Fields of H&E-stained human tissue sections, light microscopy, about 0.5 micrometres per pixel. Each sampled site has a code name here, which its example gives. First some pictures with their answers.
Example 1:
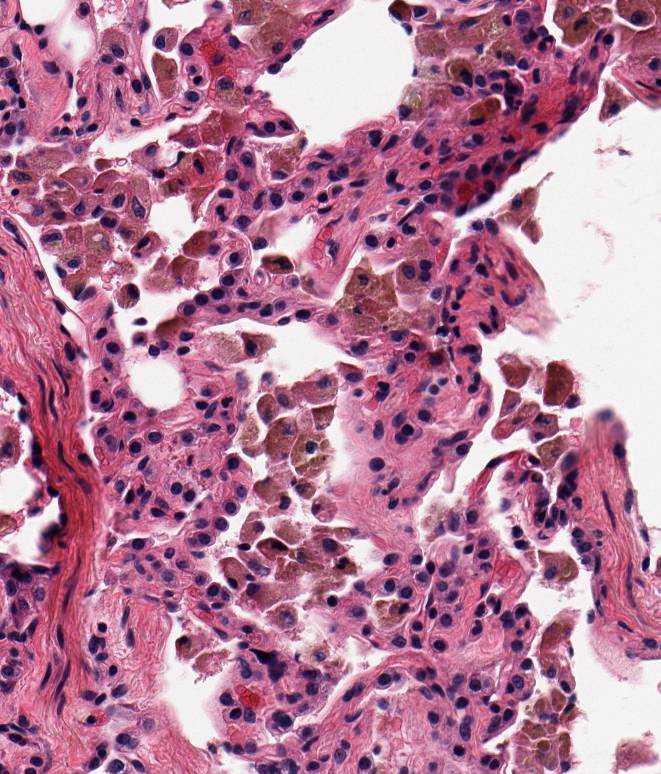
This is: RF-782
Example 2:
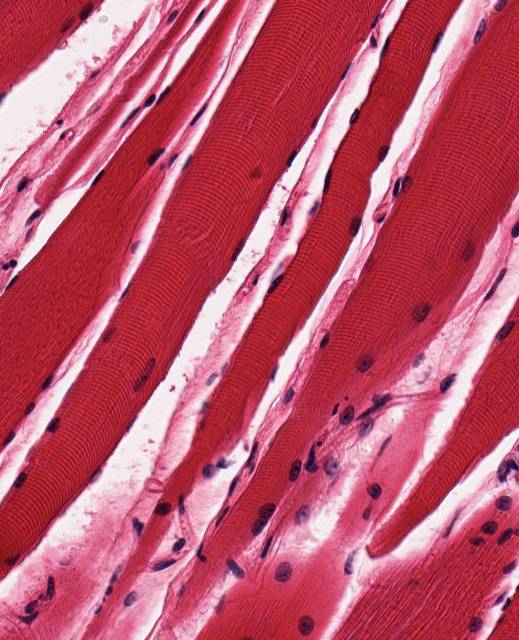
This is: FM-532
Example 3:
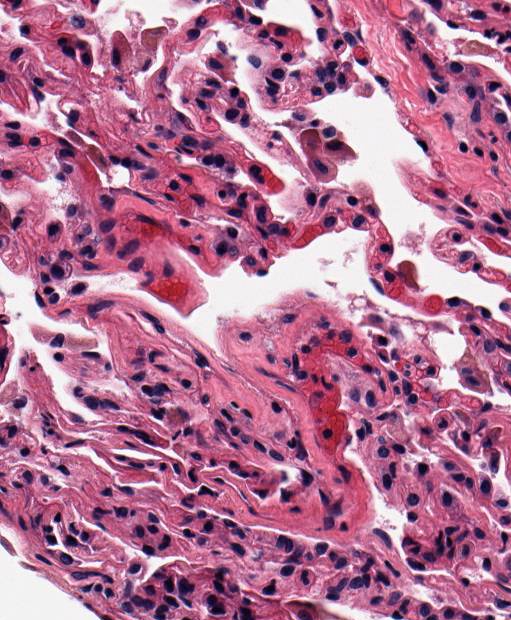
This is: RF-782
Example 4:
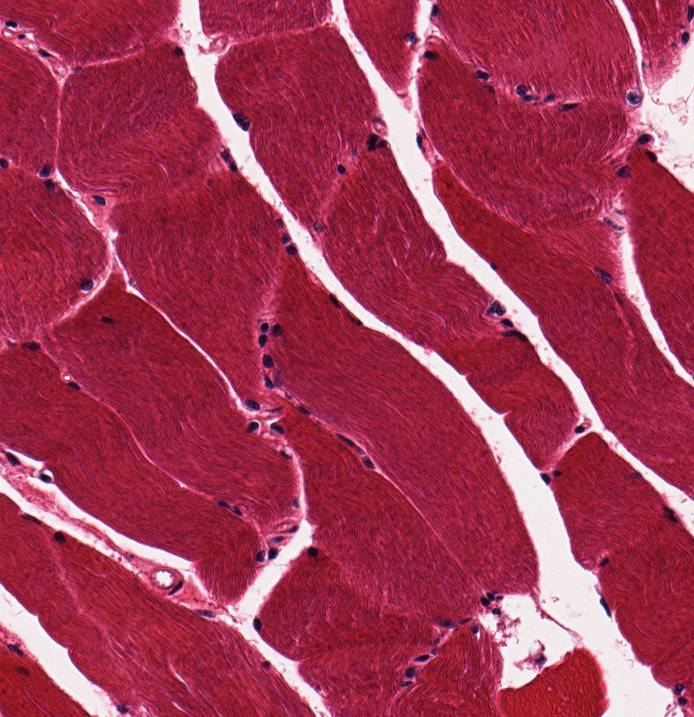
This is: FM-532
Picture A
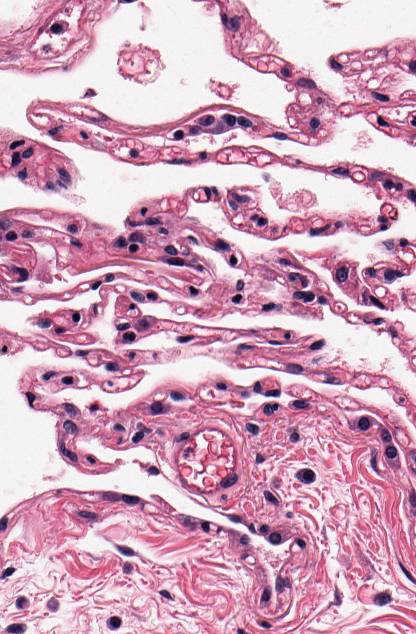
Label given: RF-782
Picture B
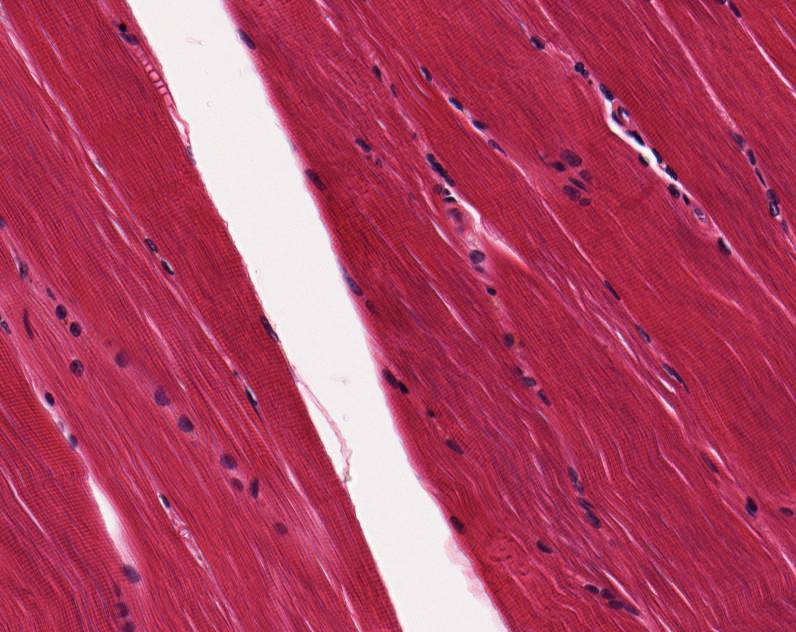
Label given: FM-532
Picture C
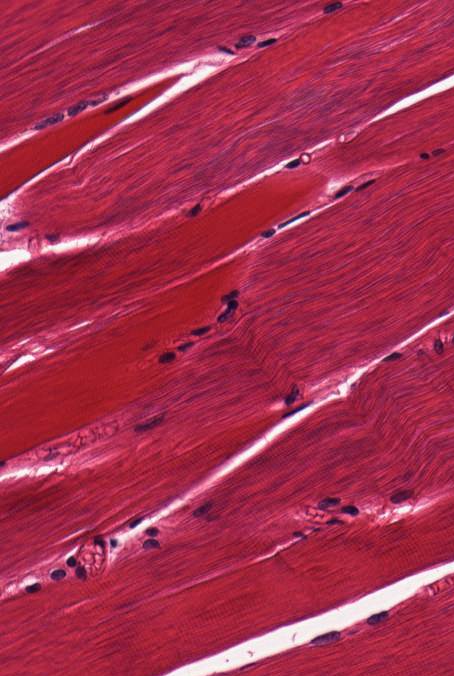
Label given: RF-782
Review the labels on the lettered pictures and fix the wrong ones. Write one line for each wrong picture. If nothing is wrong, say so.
C is labelled RF-782; correct label: FM-532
